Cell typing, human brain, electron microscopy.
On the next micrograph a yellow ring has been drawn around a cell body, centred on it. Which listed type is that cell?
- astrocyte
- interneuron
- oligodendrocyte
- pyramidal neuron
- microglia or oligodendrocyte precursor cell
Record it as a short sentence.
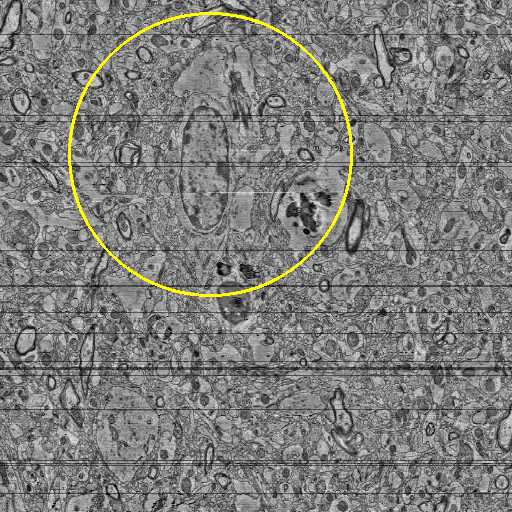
The cell body in the ring's centre belongs to a microglial cell or oligodendrocyte precursor cell.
